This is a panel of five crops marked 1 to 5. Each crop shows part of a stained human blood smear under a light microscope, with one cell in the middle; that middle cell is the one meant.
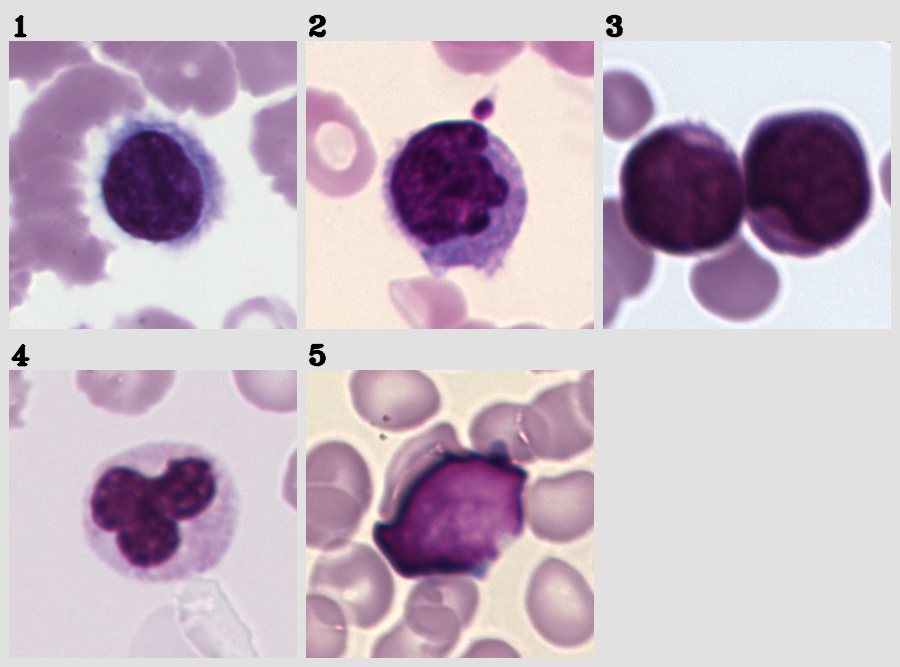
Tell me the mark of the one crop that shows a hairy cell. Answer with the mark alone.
1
